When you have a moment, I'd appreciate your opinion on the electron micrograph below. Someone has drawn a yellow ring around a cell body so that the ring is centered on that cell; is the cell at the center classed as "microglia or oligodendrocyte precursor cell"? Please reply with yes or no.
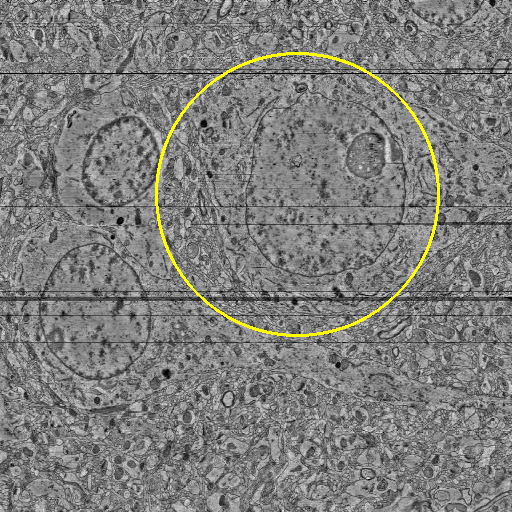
No, that cell belongs to another kind.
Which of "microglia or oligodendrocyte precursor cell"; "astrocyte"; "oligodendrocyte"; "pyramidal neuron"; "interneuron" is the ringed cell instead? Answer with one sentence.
Instead, the ringed cell here is a pyramidal neuron.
